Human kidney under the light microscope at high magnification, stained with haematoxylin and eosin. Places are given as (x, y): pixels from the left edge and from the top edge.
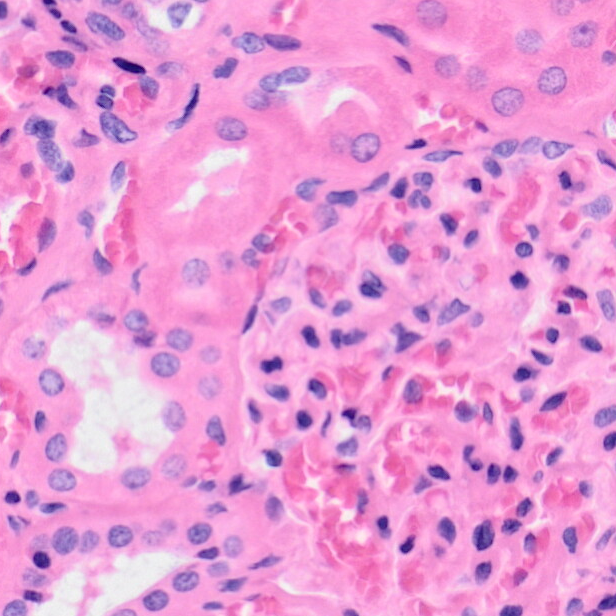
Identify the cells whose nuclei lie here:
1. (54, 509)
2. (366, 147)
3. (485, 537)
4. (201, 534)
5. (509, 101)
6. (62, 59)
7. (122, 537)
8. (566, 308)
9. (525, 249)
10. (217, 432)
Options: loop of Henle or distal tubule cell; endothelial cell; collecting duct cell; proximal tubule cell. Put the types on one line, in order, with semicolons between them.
endothelial cell; proximal tubule cell; endothelial cell; collecting duct cell; proximal tubule cell; endothelial cell; collecting duct cell; endothelial cell; endothelial cell; endothelial cell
